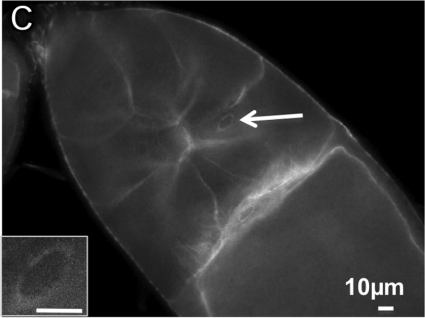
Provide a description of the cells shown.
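The nurse cell walls form irregular polygons meeting near the middle of the cluster. A bright curved band marks the border between the nurse cells and the oocyte, and a thin bright rim surrounds the chamber. The arrow points to a small open ring in a nurse cell wall, enlarged in the inset as an oval outline.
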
